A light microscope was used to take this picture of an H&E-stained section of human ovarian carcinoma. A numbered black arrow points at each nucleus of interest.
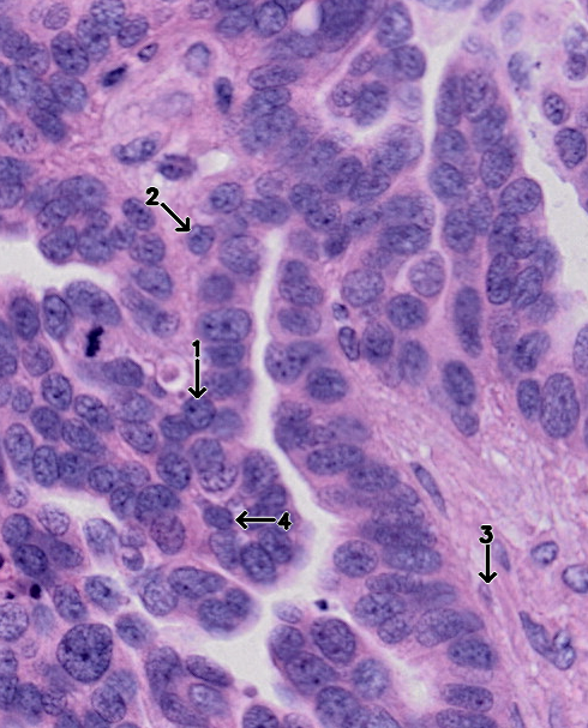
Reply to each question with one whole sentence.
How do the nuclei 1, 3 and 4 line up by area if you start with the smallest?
From smallest to largest, the order is 3, 4, 1.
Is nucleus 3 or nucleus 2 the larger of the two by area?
Of the two, number 2 is bigger and takes up about 3 times the area of number 3.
